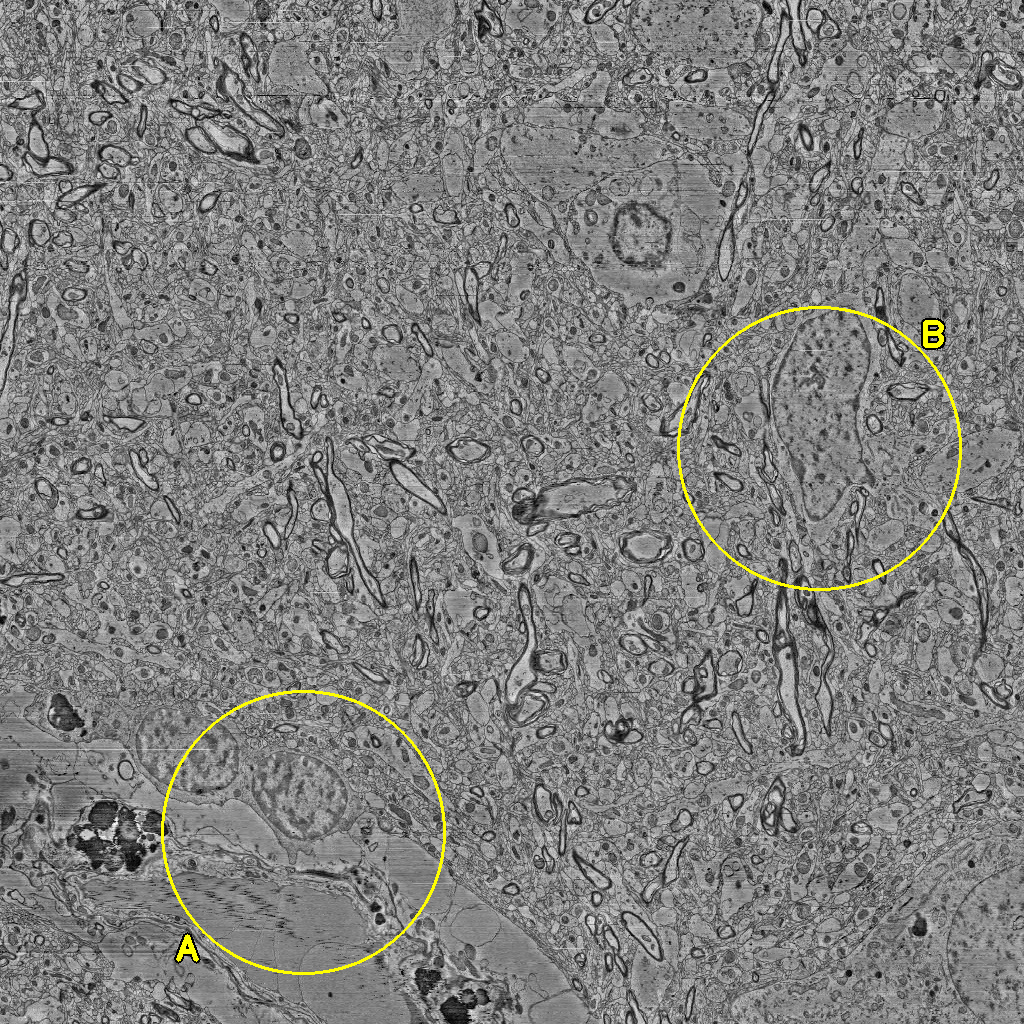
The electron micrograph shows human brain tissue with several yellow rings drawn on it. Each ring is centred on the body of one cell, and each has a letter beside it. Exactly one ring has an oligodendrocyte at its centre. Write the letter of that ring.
A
